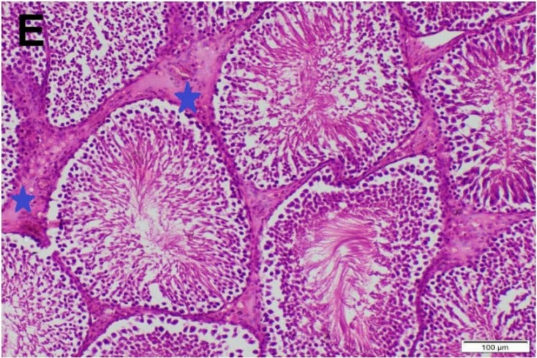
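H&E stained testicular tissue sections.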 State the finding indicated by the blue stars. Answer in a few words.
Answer: Leydig cell hyperplasia.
